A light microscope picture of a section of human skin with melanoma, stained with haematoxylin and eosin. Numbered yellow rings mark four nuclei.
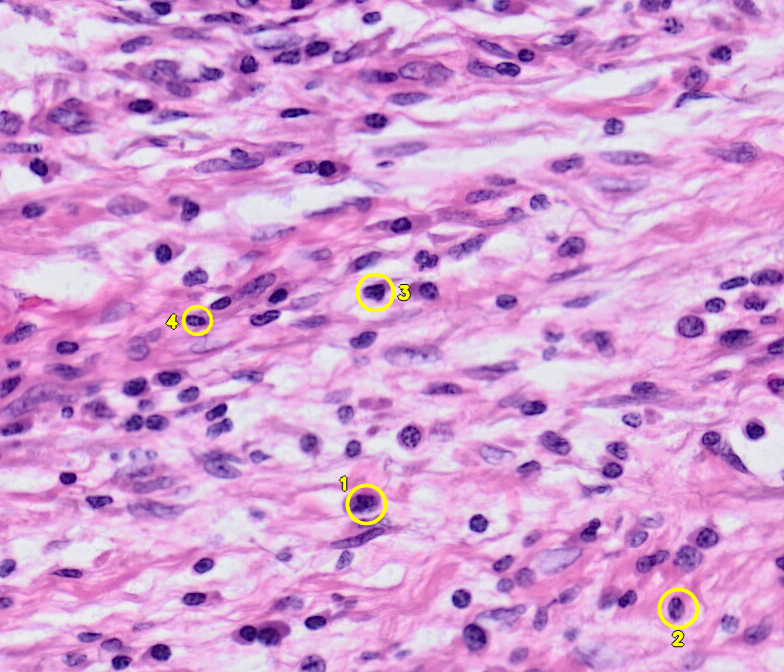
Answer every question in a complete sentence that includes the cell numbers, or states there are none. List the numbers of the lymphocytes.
Only cell 2 qualifies as a lymphocyte among the numbered cells.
